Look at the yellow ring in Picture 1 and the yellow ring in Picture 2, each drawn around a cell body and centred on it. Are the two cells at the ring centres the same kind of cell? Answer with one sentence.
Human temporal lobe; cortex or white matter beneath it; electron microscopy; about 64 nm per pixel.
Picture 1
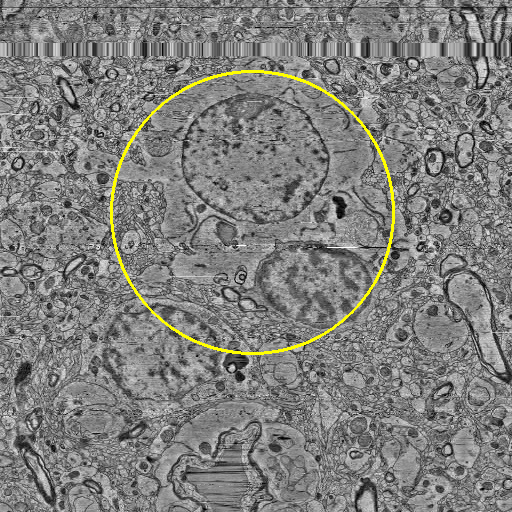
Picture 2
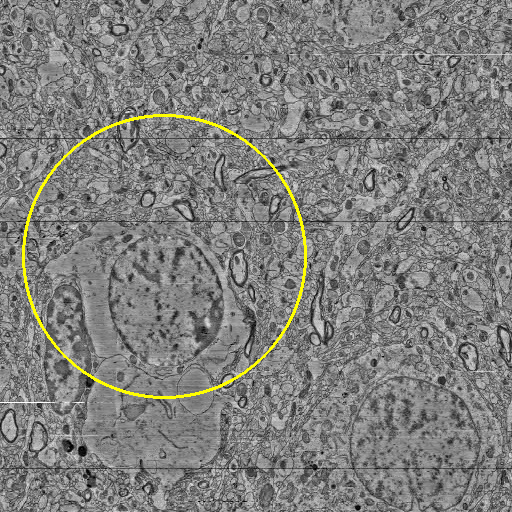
Yes, both are the same kind of cell.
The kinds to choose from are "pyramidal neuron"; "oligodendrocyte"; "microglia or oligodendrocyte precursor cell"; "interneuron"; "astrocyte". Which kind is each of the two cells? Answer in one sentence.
Each one of the two ringed cells is an astrocyte.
